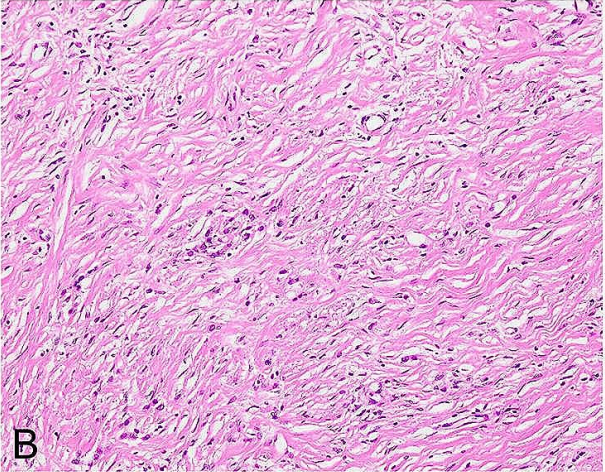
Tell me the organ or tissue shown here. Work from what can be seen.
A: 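Wavy pink collagen bundles with spindle cells arranged in streams. So: fibromatosis-like tissue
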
